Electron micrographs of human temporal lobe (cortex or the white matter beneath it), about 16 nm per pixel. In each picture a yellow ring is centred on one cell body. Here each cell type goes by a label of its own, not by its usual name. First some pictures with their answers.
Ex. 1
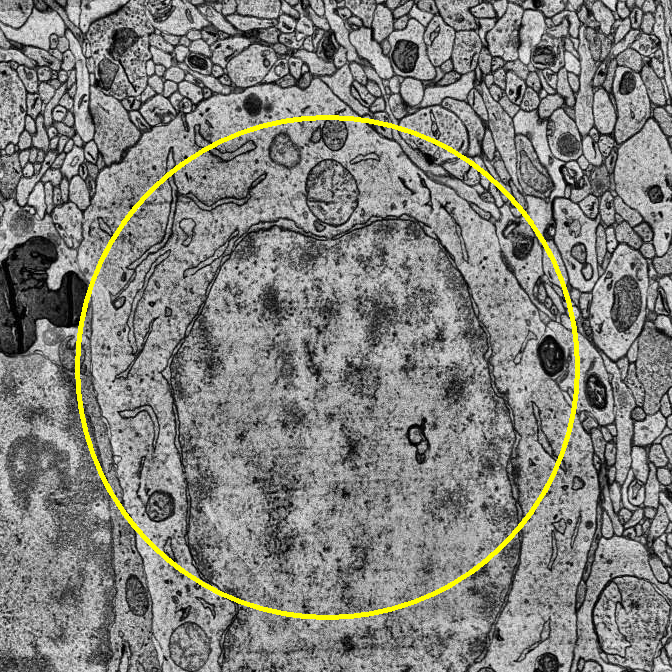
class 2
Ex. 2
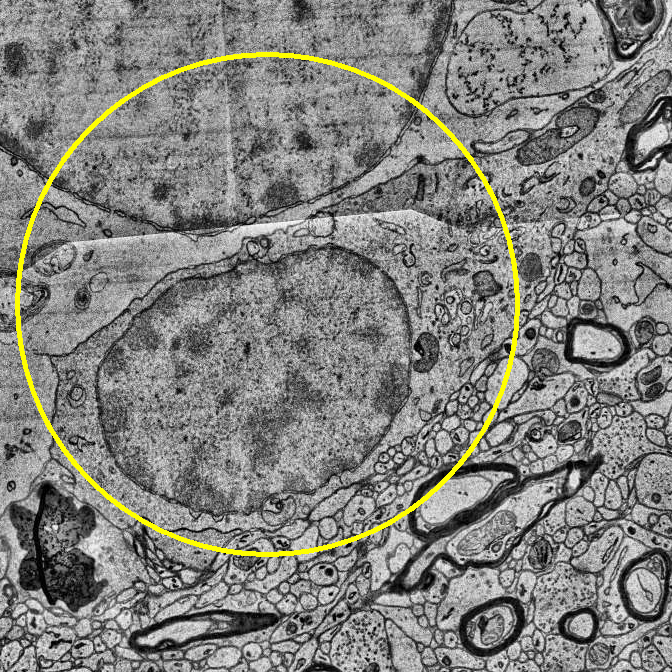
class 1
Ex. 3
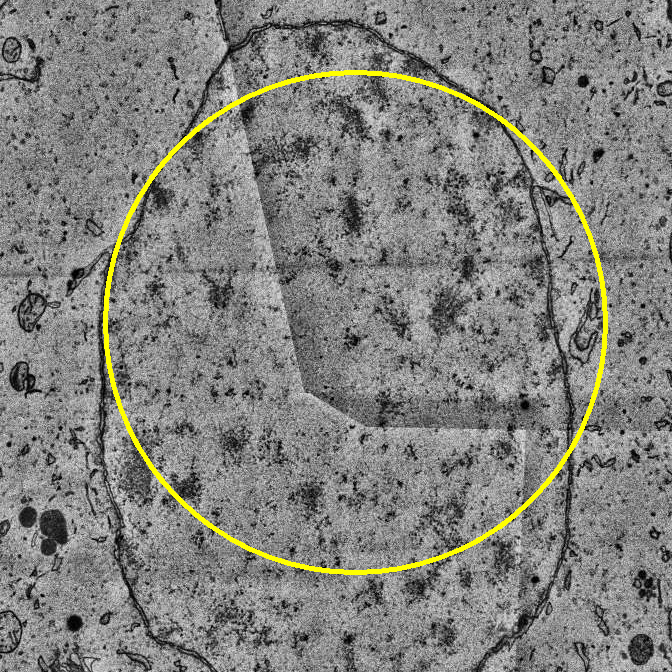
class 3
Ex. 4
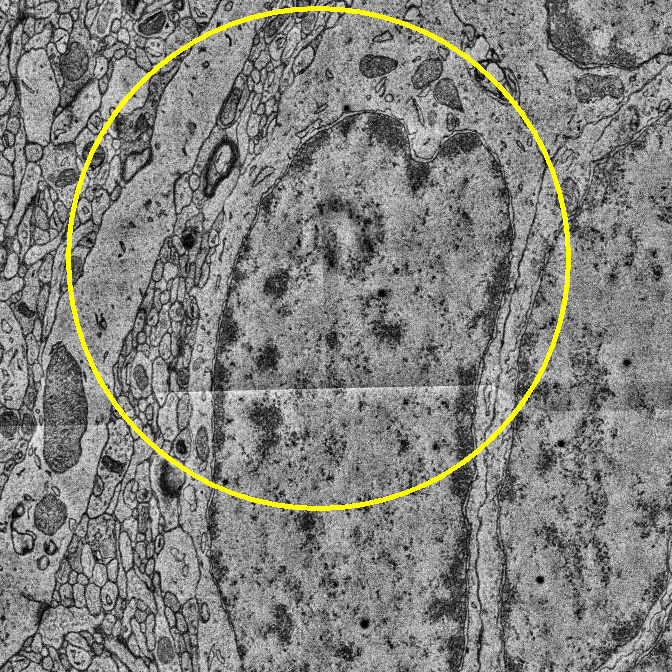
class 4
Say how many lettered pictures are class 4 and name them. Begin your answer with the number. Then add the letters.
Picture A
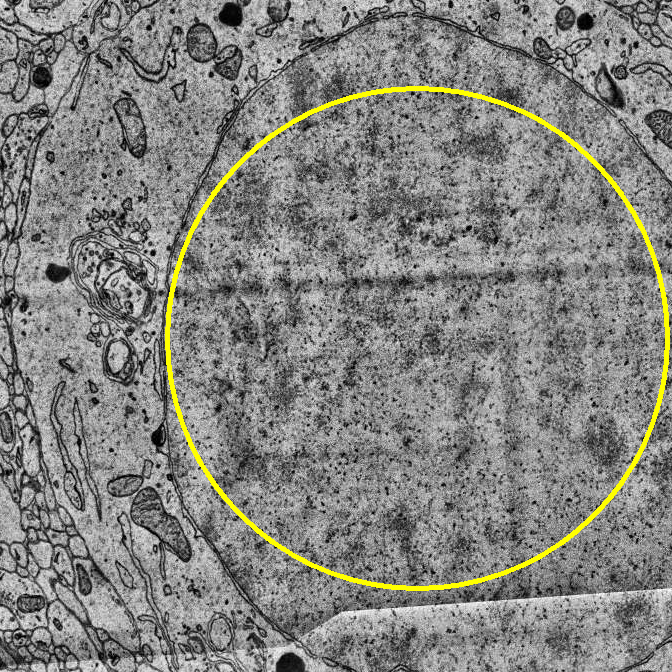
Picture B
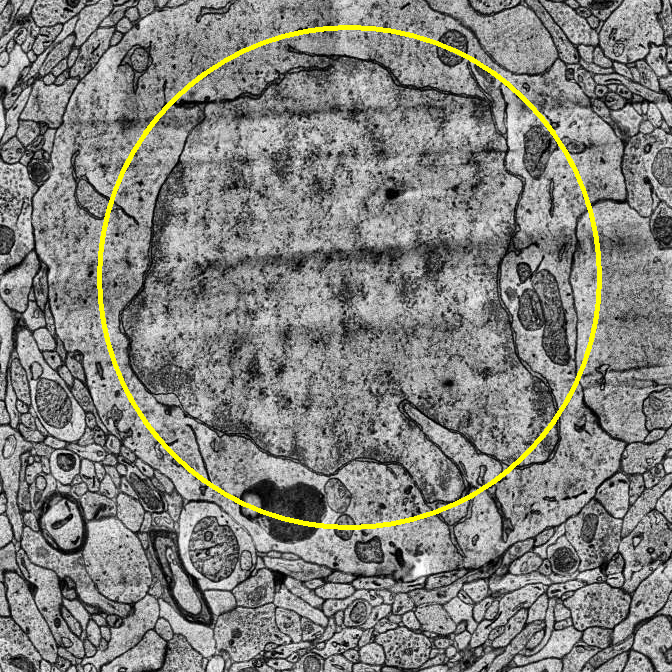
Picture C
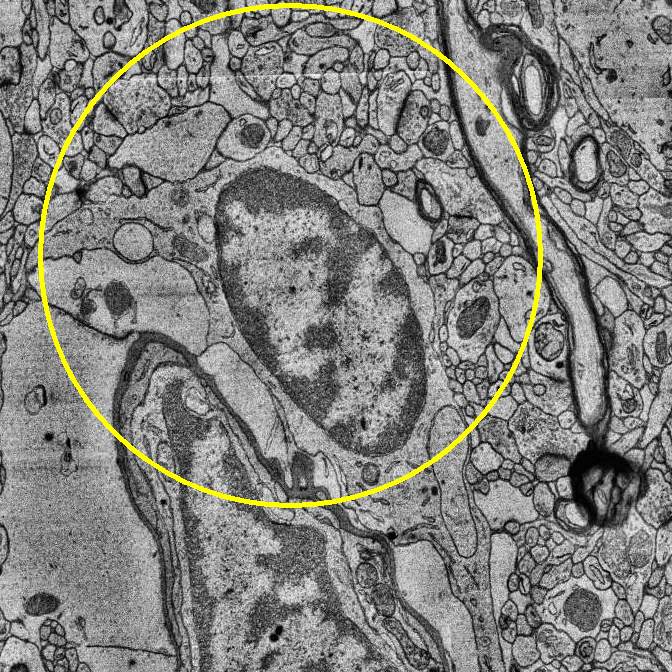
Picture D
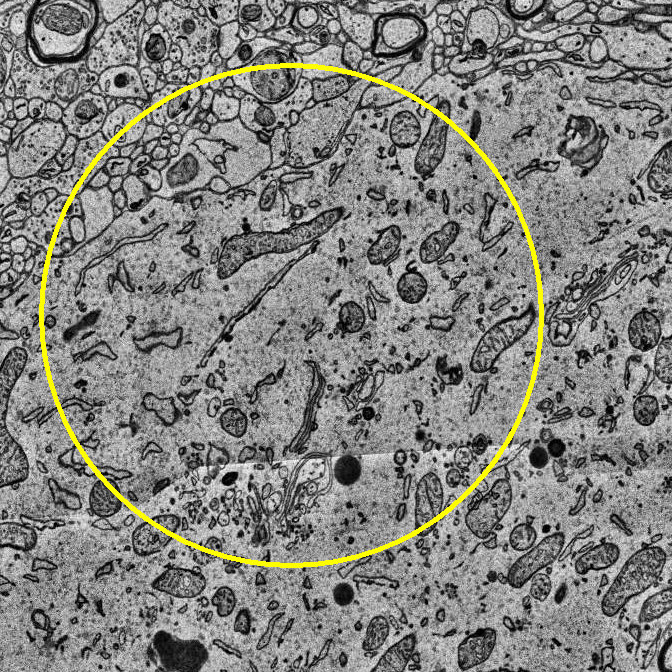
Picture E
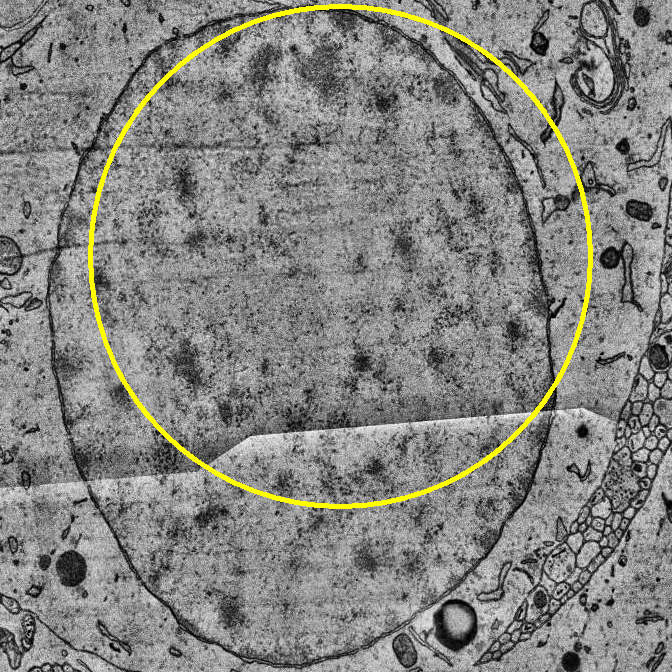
1, namely C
